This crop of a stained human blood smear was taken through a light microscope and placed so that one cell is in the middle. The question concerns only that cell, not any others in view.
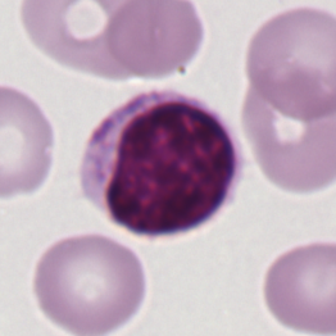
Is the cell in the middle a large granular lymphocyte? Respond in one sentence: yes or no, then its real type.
Yes, the cell that is in the middle is a large granular lymphocyte.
